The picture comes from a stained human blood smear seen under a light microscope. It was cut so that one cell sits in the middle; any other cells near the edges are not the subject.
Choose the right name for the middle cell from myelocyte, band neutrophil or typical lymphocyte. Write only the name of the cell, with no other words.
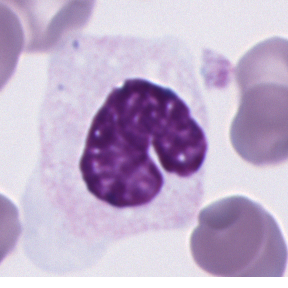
band neutrophil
